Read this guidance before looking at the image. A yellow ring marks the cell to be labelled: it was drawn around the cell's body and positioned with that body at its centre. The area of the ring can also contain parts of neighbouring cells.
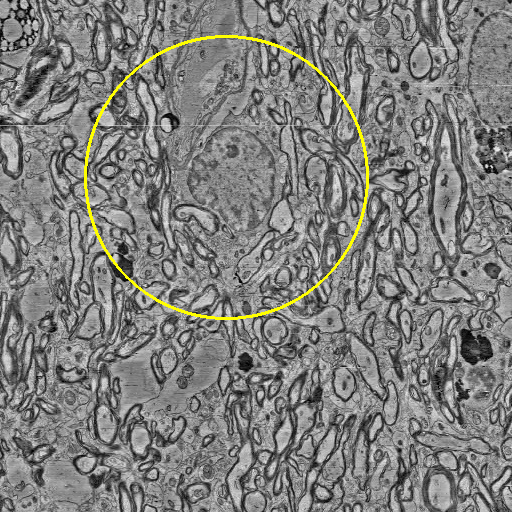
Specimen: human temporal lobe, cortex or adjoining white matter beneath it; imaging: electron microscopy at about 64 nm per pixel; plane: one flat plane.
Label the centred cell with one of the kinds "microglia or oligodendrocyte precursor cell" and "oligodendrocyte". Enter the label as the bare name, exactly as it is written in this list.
oligodendrocyte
